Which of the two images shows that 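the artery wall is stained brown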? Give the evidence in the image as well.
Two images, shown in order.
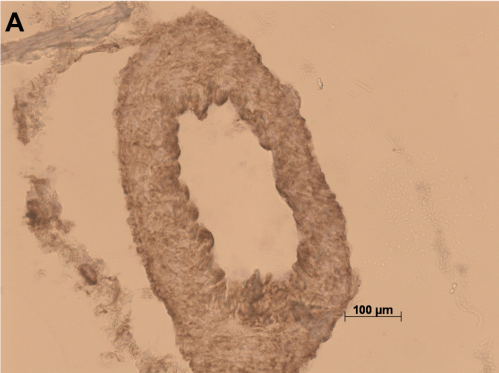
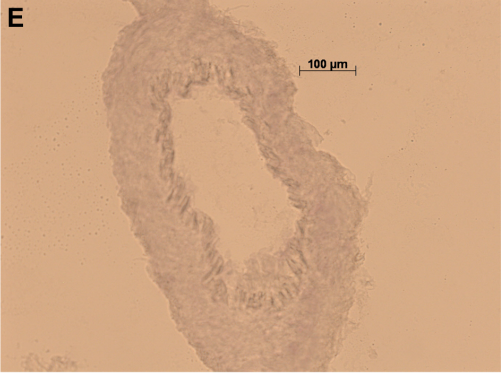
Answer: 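The first image. Second image: the vessel wall is pale and shows little brown colour. First image: the vessel wall is dark brown throughout.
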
